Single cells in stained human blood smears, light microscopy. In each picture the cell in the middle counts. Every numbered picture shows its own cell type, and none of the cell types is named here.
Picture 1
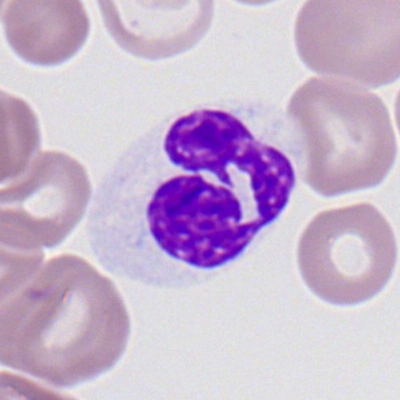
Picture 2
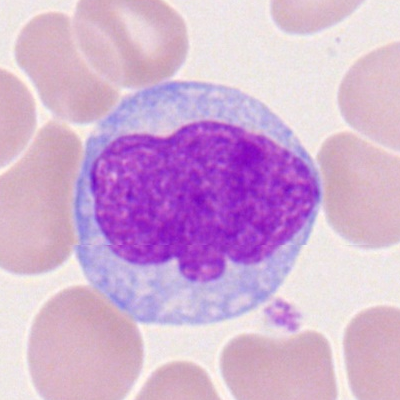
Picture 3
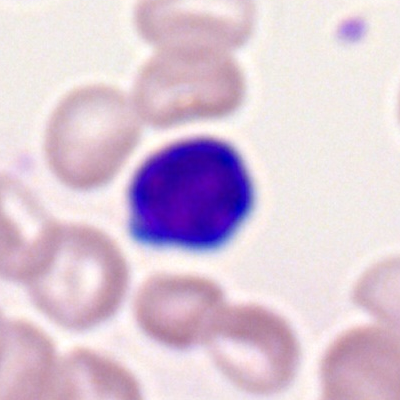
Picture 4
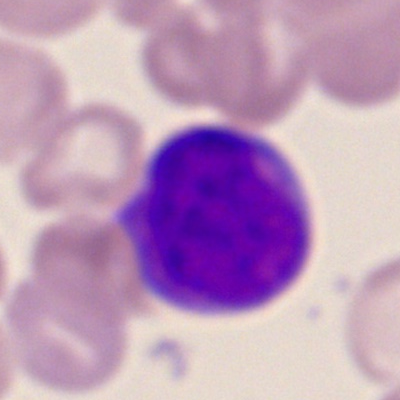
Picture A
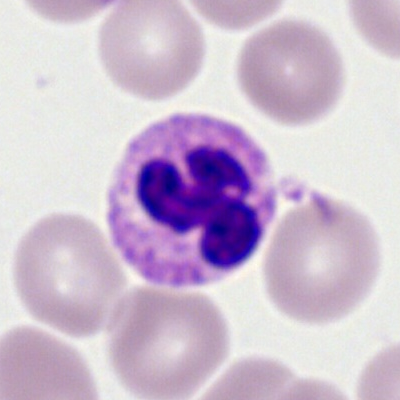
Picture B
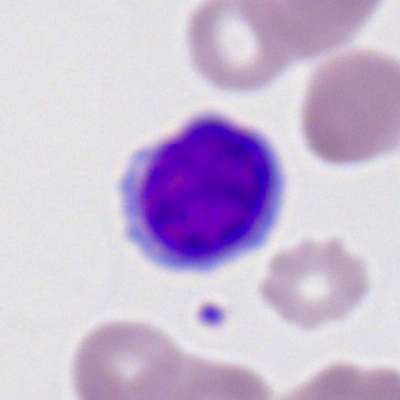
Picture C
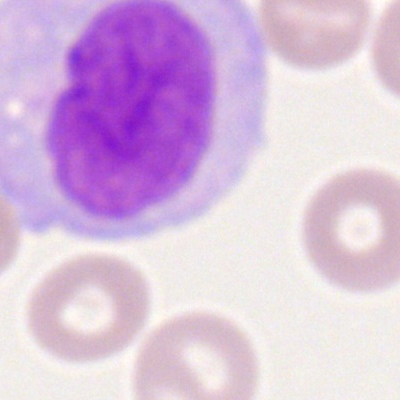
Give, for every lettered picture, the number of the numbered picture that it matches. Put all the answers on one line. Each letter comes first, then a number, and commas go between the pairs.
A 1, B 3, C 2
